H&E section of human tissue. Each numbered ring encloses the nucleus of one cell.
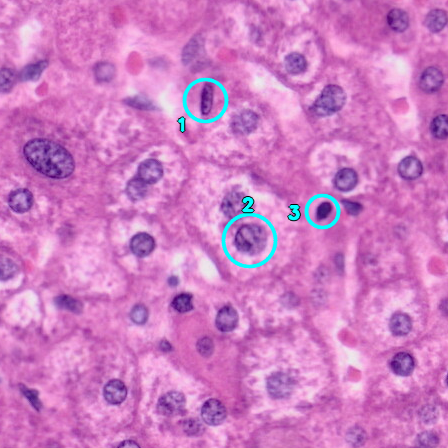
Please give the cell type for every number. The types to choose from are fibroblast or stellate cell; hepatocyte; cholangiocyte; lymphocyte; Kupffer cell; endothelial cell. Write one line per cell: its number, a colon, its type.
1: fibroblast or stellate cell
2: hepatocyte
3: lymphocyte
